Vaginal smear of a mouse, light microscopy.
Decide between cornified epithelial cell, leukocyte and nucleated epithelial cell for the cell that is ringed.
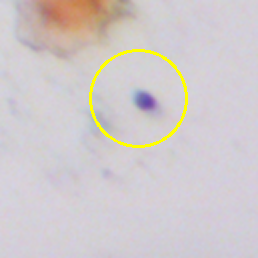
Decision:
I take the ringed cell for a leukocyte.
